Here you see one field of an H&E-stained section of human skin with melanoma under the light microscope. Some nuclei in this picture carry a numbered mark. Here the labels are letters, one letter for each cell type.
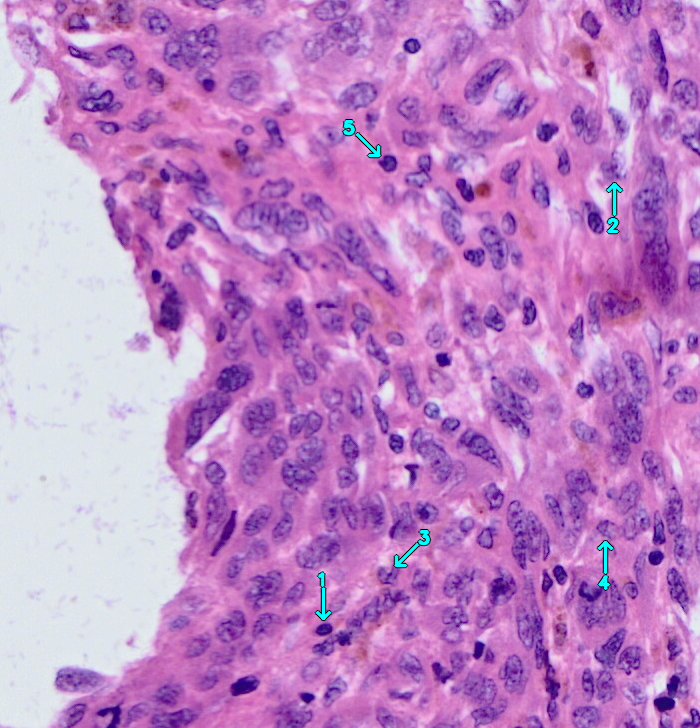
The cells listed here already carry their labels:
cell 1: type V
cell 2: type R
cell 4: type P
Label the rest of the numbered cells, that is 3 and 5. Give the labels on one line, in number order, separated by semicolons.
type P; type V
